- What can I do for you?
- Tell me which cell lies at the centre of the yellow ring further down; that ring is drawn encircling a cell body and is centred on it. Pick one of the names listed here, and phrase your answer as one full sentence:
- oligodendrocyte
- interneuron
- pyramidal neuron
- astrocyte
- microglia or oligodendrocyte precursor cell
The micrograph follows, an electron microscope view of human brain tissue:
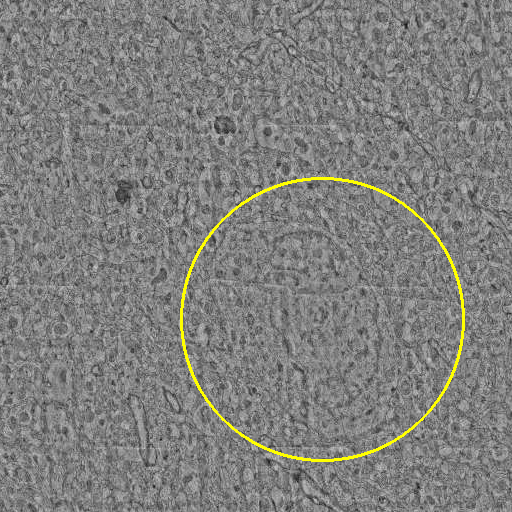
The cell whose body lies at the centre of the yellow ring is an interneuron.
